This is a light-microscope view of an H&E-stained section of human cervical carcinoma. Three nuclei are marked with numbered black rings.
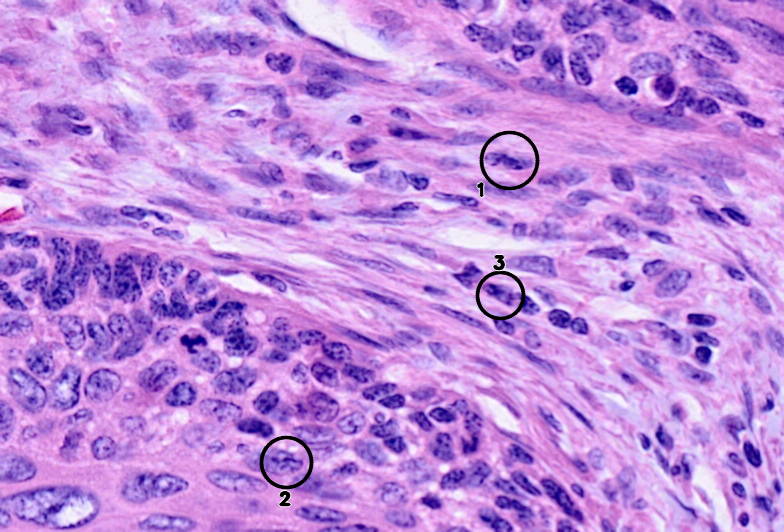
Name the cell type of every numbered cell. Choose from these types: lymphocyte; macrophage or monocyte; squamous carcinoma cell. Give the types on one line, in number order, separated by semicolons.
lymphocyte; squamous carcinoma cell; lymphocyte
